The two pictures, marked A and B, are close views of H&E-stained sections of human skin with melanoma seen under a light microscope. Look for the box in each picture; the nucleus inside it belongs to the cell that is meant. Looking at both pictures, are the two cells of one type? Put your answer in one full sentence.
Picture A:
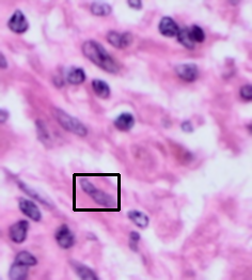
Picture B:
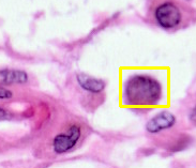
Yes, both are “macrophages or monocytes”.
